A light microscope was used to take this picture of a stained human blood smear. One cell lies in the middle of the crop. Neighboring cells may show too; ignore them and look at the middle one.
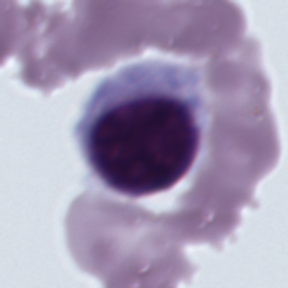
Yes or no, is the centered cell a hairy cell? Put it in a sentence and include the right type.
Yes, the centred cell is categorised as a hairy cell.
